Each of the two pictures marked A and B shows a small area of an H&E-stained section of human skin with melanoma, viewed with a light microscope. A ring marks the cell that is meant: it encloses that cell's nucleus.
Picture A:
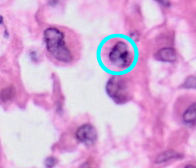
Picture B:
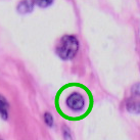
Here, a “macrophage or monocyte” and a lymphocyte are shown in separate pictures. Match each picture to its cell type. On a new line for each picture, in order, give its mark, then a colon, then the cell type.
A: macrophage or monocyte
B: lymphocyte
